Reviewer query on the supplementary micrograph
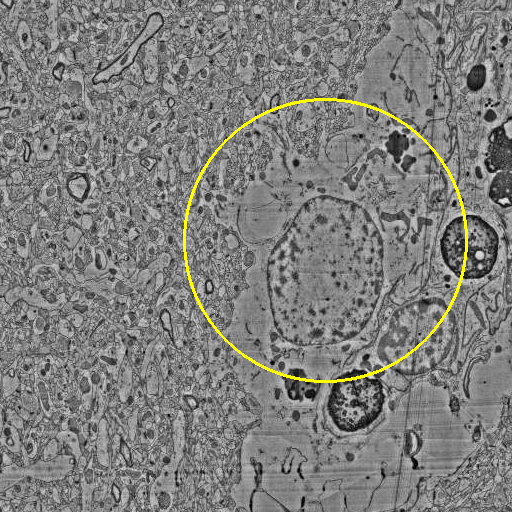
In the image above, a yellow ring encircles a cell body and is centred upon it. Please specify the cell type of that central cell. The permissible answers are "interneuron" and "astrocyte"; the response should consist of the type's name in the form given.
astrocyte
